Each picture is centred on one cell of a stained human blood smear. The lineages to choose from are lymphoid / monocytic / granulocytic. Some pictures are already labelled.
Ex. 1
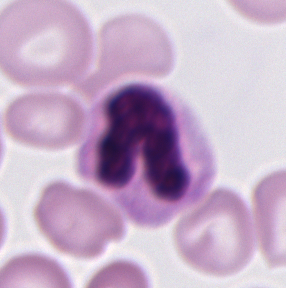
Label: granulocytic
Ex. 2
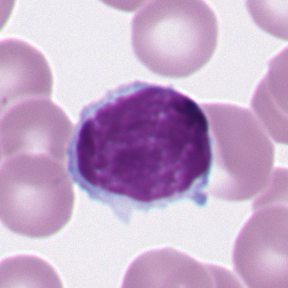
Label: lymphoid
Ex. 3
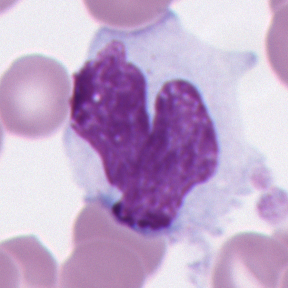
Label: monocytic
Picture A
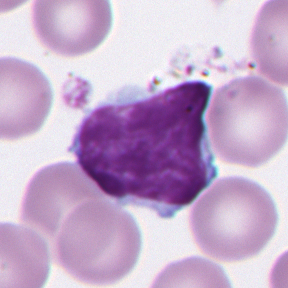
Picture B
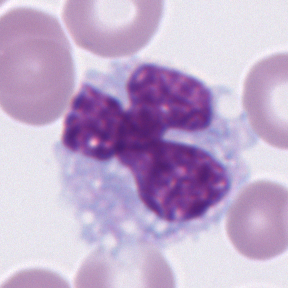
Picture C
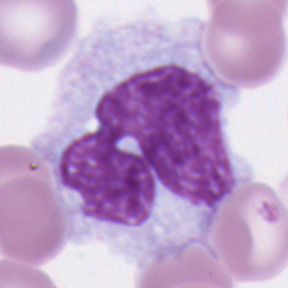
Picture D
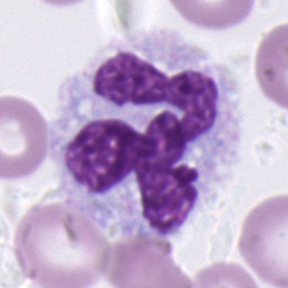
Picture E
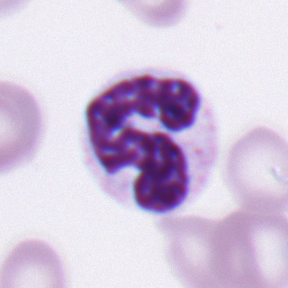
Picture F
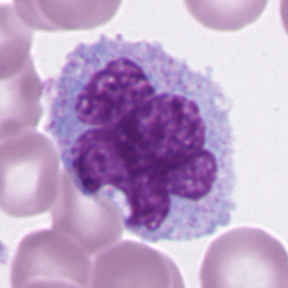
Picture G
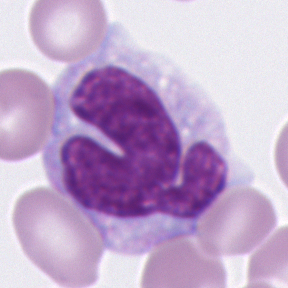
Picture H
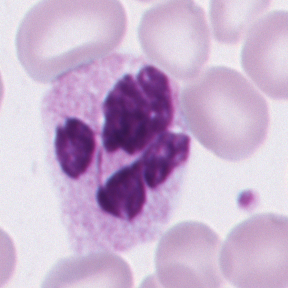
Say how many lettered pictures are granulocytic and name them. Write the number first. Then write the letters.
2, namely E, H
